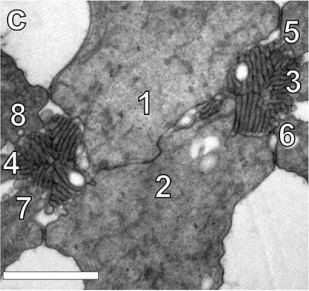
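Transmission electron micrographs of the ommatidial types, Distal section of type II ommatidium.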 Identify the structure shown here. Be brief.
Two spatially separated rhabdoms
